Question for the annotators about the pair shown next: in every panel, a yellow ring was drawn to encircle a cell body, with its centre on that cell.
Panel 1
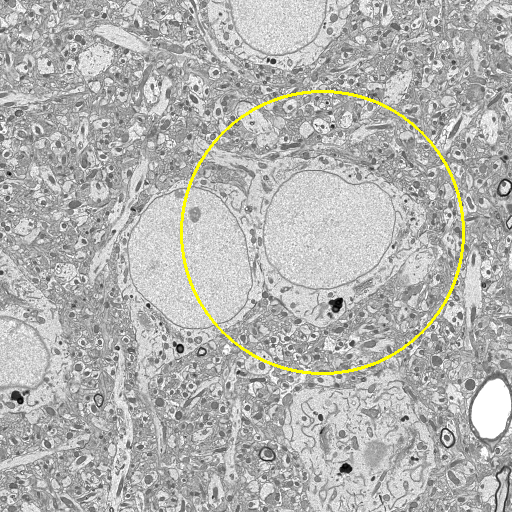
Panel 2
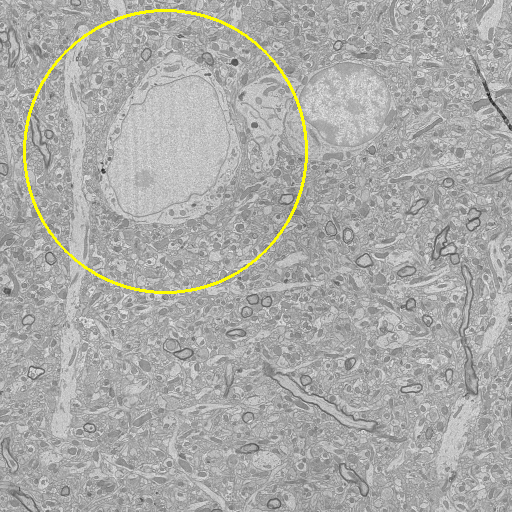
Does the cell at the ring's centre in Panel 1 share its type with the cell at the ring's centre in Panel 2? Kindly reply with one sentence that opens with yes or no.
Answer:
Yes, in Panels 1 and 2 the cells at the ring centres belong to a single type.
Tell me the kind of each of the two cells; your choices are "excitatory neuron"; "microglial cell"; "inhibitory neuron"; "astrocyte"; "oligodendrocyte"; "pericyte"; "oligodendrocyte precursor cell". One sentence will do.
Each cell, in the first picture and the second, is an excitatory neuron.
